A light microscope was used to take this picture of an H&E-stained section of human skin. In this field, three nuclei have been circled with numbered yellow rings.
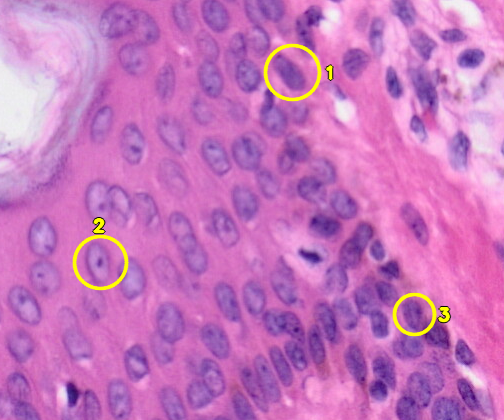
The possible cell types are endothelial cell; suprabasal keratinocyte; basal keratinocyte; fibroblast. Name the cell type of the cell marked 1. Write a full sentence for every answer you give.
Cell 1, among those numbered, is a basal keratinocyte.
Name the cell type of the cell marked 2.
The numbered cell 2 in this field is a suprabasal keratinocyte.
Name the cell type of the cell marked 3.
Cell number 3 in this section is a basal keratinocyte.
